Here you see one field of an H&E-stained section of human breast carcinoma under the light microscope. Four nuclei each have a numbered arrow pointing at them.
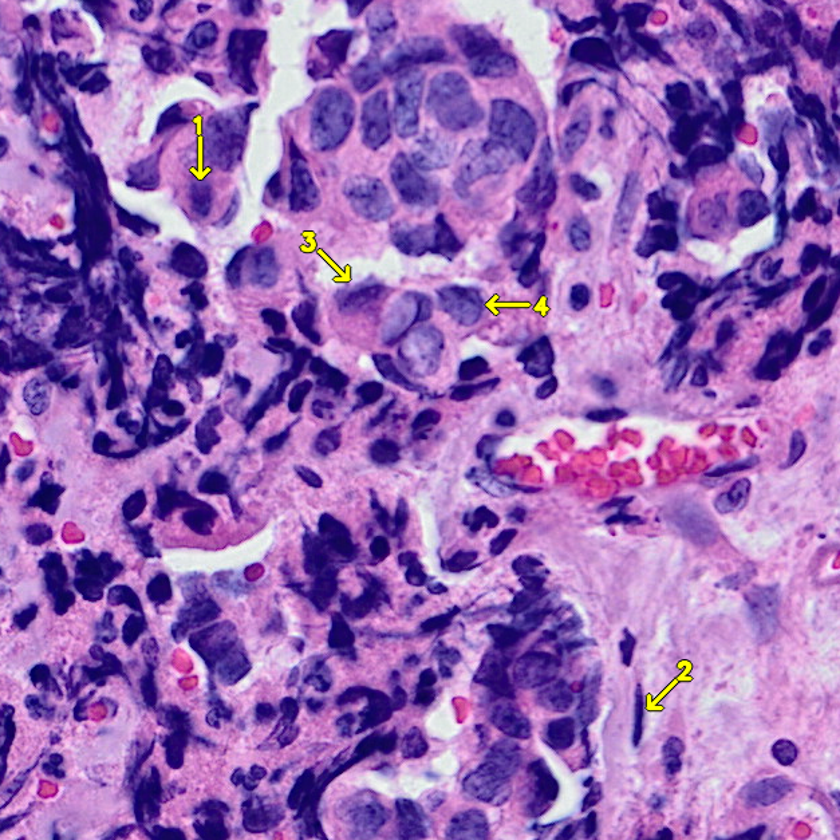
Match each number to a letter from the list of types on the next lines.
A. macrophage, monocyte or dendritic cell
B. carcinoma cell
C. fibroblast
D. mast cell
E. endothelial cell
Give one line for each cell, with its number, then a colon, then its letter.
1: B
2: C
3: B
4: B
